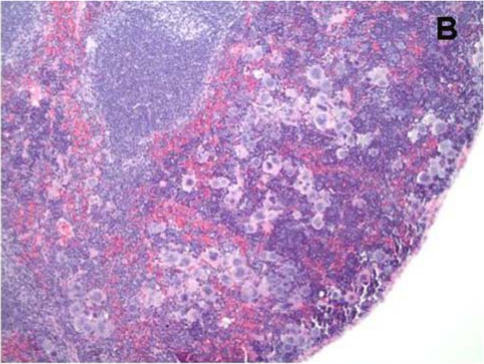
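This is a section of spleen in which many large megakaryocytes crowd the red pulp beside a rounded white pulp nodule. The white pulp near the top shows as a dense, evenly purple zone of small, closely packed lymphocytes. Around it, the red pulp is filled with pink-red erythrocytes and smaller blood-forming cells. Scattered singly and in clusters through the red pulp are much larger cells with ample pale lilac cytoplasm and large, irregular nuclei. These giant cells are many times the size of the lymphocytes around them, which makes them easy to pick out even at this low power.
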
